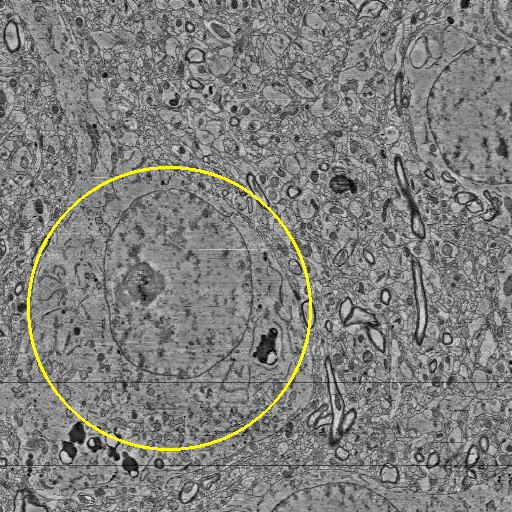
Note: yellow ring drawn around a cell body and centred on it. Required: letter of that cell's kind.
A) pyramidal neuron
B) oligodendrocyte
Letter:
A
